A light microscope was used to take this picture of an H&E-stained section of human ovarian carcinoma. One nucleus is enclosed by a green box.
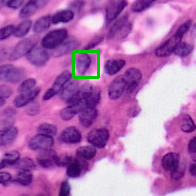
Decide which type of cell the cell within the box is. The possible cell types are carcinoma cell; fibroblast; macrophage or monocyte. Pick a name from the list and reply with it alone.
macrophage or monocyte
